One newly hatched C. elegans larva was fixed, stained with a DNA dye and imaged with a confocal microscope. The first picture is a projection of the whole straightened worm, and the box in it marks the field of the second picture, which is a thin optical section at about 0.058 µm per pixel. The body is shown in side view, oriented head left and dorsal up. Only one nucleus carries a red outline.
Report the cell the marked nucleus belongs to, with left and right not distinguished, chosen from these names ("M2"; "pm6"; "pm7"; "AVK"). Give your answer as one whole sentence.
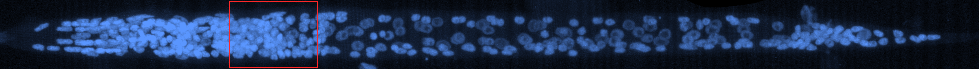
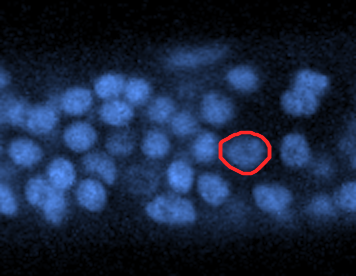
The nucleus is from pm6, a pharyngeal muscle cell.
